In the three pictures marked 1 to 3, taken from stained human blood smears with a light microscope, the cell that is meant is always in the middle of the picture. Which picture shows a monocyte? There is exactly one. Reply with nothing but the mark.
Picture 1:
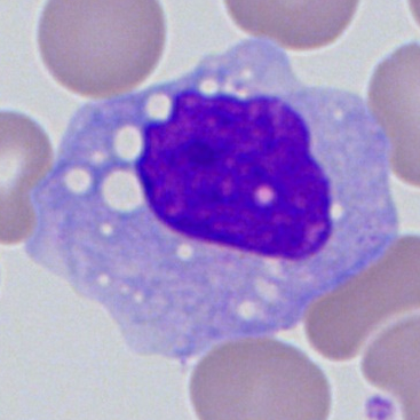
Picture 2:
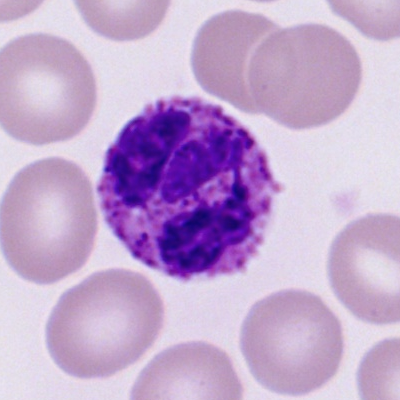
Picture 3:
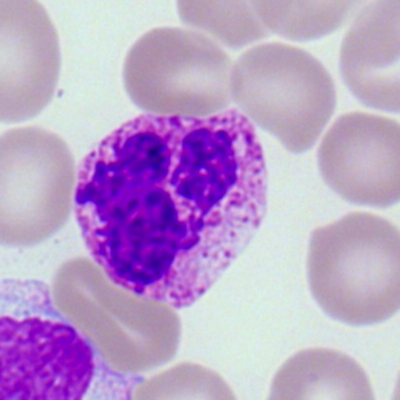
1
